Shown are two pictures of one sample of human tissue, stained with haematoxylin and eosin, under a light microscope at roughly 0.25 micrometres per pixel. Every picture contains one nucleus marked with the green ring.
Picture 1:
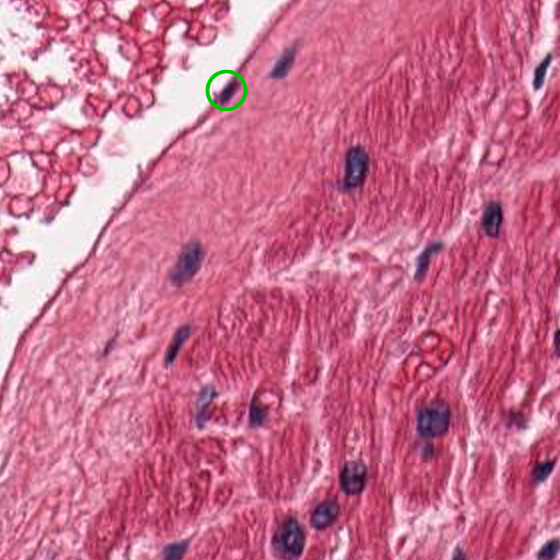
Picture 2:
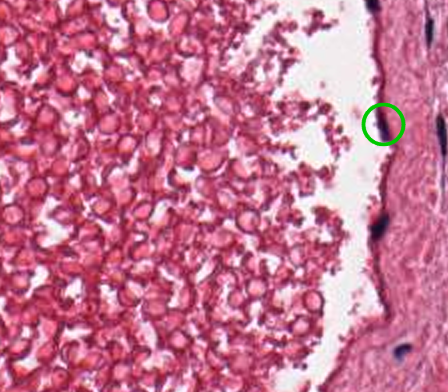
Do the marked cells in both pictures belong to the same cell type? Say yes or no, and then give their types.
Yes, both are endothelial cells.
